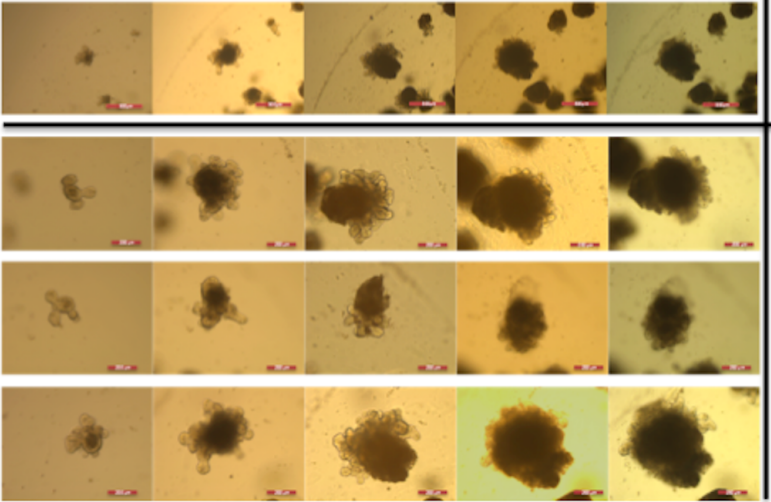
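In the leftmost images each organoid is a small, pale cluster. Further along each row the organoids become larger and their centres turn dark and opaque. In the last images they are compact, dense masses, and their surface lobes are only faintly visible.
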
